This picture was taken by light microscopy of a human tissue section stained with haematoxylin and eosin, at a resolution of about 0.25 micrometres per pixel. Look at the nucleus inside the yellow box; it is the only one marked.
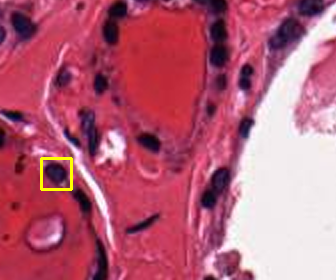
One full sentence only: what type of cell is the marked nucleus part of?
Belonging to a thyroid follicular cell is the marked nucleus.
